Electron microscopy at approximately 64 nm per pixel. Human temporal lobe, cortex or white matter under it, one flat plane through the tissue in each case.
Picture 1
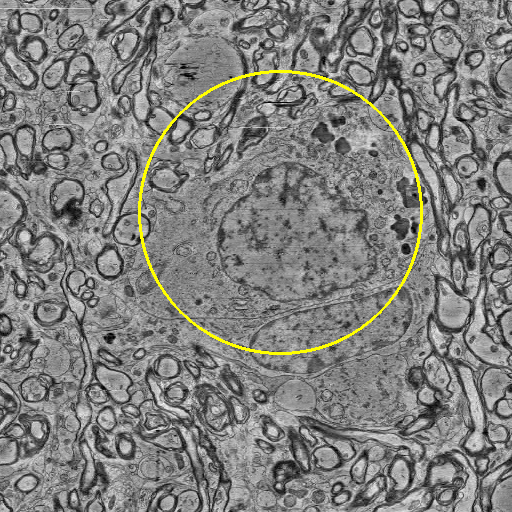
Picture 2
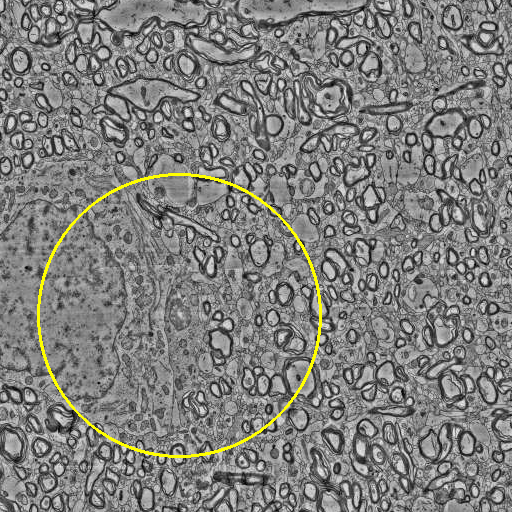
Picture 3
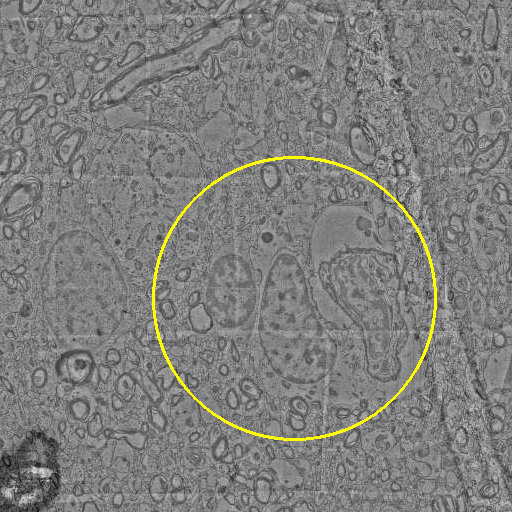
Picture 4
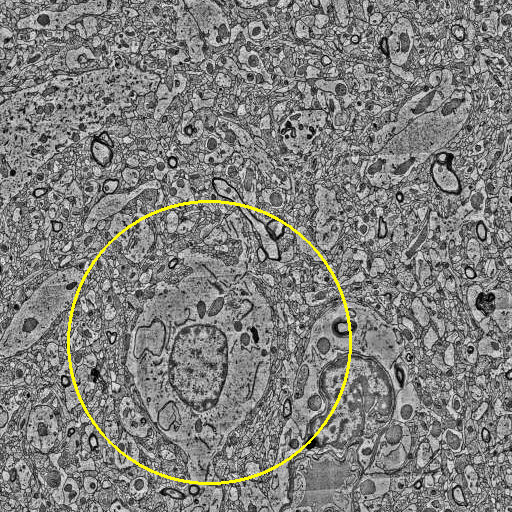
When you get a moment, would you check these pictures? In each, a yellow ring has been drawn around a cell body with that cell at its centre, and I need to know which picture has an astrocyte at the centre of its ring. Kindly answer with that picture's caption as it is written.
Picture 4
